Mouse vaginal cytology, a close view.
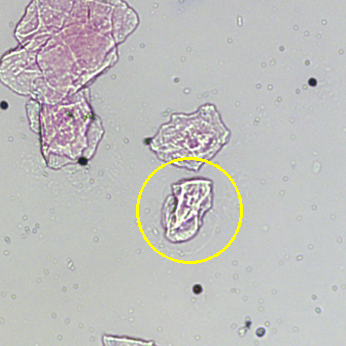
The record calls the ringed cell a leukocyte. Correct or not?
Not correct; it is a cornified epithelial cell.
